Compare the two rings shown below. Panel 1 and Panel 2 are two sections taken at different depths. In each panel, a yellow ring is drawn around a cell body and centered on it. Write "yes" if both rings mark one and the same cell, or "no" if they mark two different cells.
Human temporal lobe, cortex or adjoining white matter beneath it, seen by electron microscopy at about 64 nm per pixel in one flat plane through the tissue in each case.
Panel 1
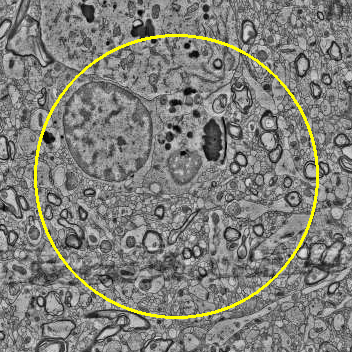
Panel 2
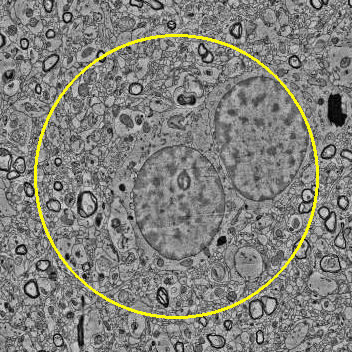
no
